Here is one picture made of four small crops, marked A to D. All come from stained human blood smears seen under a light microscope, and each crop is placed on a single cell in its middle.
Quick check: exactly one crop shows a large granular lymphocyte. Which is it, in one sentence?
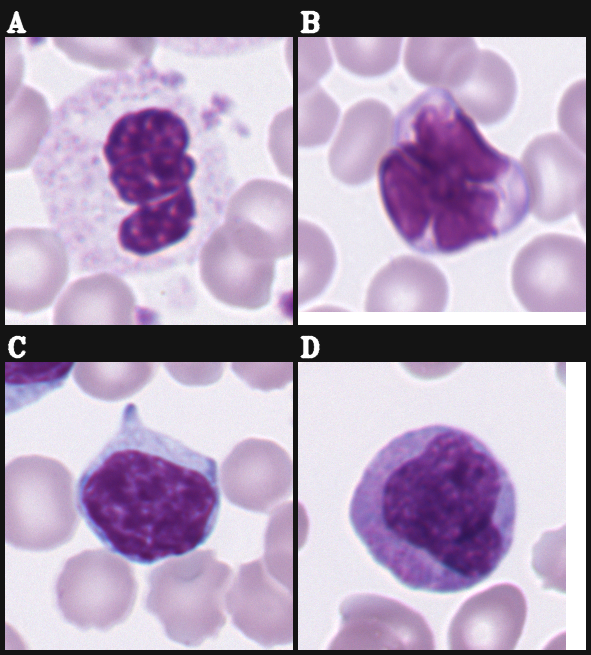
Crop B is the one to choose: it shows a large granular lymphocyte.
